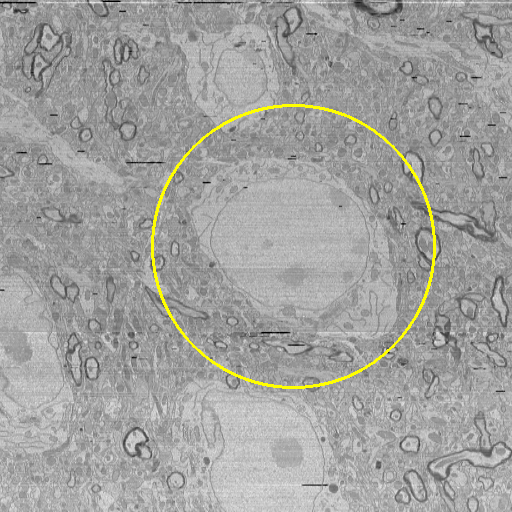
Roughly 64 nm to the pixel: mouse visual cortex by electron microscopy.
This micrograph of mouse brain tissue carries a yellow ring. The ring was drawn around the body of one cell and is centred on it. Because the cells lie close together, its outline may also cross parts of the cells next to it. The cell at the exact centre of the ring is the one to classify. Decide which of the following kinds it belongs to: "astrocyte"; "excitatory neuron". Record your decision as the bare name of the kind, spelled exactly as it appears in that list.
excitatory neuron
